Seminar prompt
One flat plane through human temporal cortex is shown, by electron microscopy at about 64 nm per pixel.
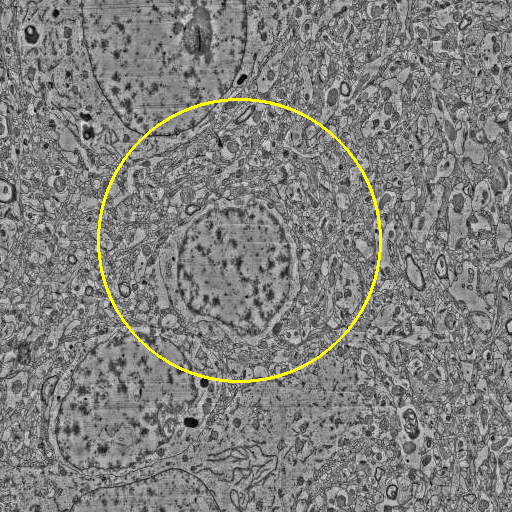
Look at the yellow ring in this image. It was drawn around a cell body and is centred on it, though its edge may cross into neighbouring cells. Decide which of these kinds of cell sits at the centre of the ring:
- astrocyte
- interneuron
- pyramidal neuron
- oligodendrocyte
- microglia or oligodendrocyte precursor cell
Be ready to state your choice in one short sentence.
The kind of cell at the ring's centre is an interneuron.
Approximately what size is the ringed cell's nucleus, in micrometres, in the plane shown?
The nucleus measures about 8 micrometers across in this plane.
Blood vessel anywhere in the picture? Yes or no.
No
